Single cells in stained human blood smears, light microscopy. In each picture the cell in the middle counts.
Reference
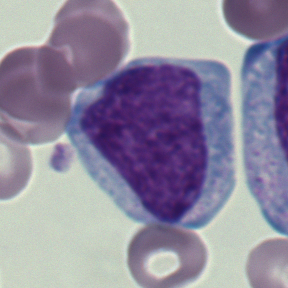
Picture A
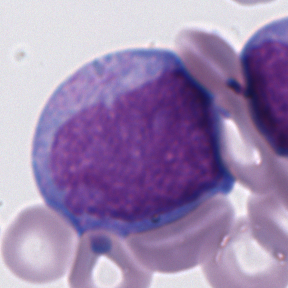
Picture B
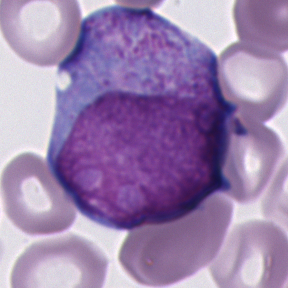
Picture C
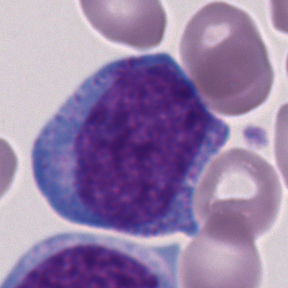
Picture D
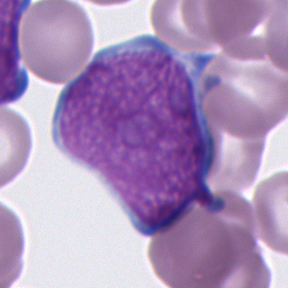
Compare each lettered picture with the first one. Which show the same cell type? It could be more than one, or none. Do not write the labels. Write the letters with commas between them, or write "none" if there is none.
A, B, C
